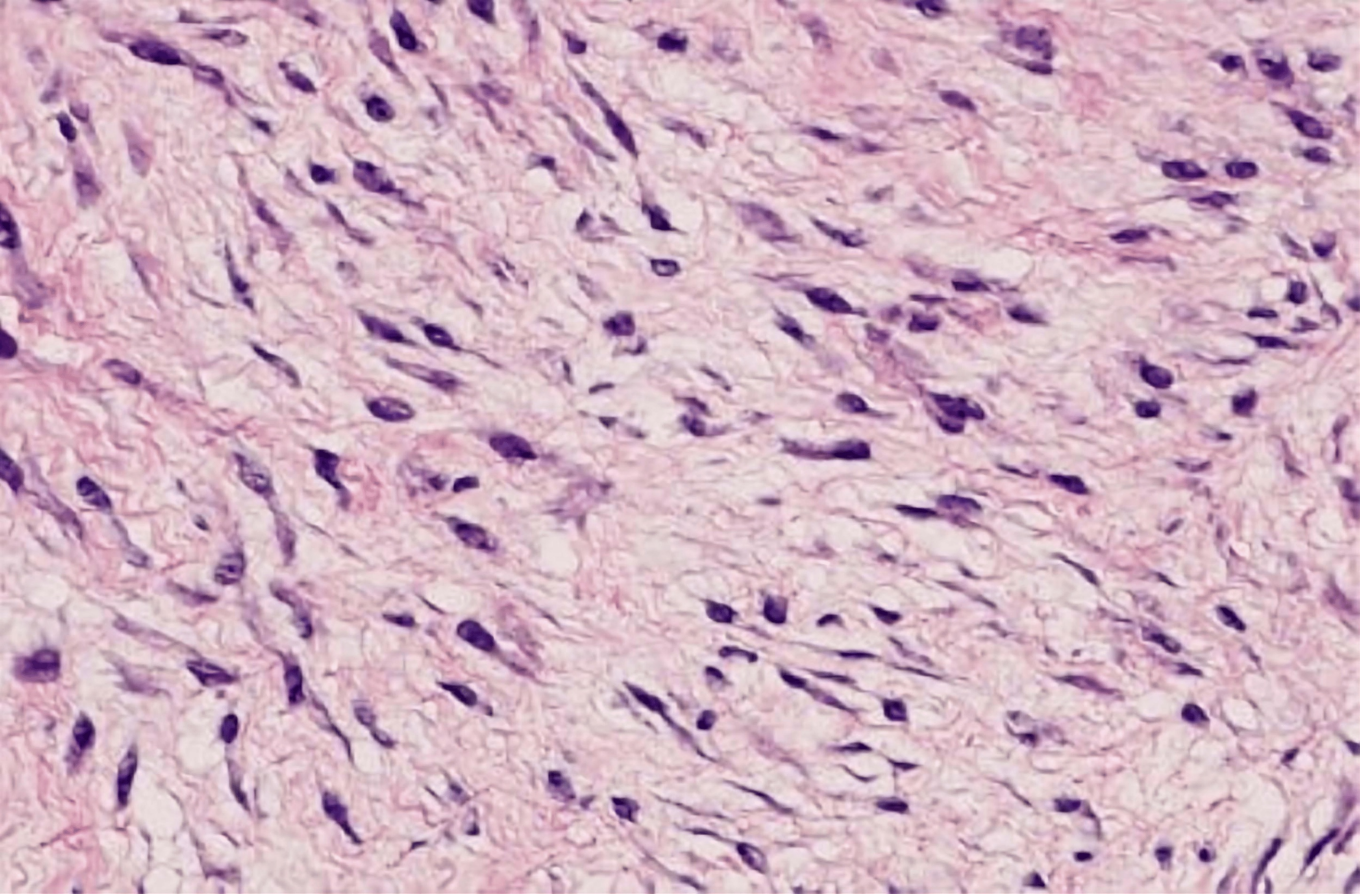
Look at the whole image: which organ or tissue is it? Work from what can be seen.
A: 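Fibrocellular tissue. Scattered spindle-shaped cells lie in a pale pink fibrillar matrix. There are no epithelial structures or glands.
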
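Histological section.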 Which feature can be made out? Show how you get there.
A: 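Thin pink fibres run between the cells. Many of the fibres are wavy or twisted. The matrix looks loose, with pale spaces between the fibres. So: fibrillar collagen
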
